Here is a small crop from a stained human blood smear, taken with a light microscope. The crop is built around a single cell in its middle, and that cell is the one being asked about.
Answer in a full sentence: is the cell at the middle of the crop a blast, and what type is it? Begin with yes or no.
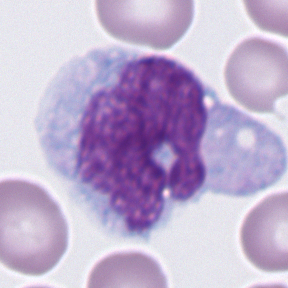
No, the central cell isn't a blast, but a monocyte.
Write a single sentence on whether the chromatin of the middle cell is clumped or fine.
The key point is fine chromatin with no coarse clumps.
